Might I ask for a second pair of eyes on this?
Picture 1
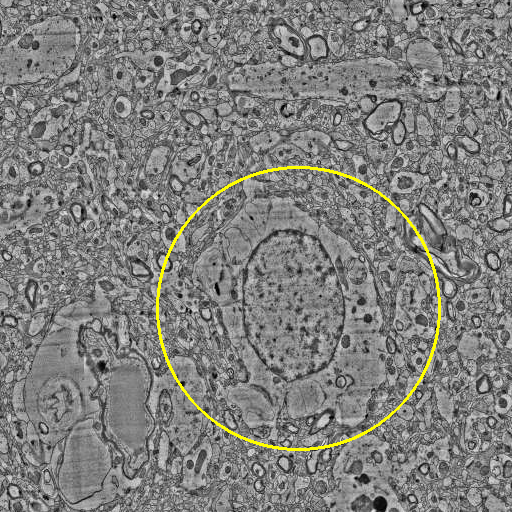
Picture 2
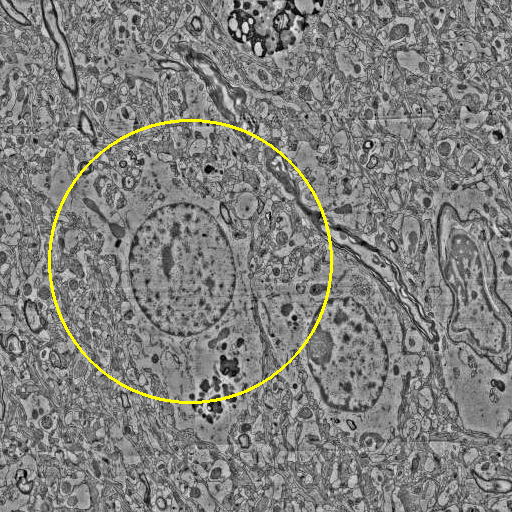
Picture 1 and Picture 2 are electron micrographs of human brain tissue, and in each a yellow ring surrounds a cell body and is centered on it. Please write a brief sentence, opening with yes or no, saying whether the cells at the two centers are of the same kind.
Yes, the cells are of the same kind.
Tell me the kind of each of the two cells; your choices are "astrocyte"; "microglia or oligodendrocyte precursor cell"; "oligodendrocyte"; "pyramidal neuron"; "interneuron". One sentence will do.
Each of the ringed cells, first and second, is an astrocyte.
